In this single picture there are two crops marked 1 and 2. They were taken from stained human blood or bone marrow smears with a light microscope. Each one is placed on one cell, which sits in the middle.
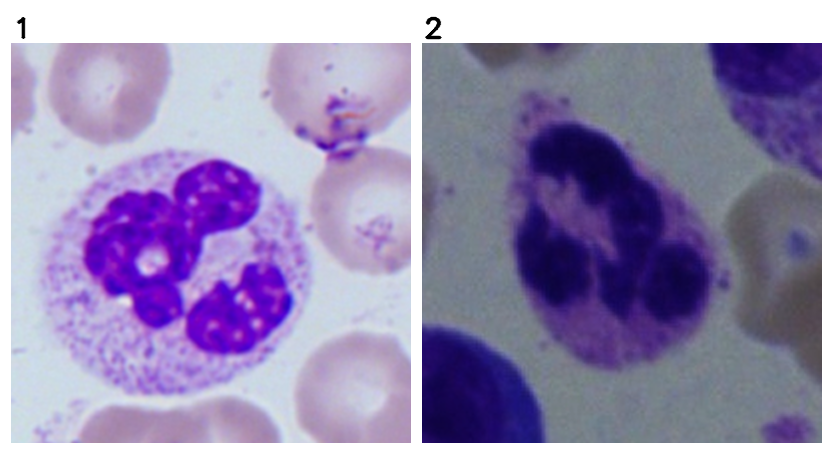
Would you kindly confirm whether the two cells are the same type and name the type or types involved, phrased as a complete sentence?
Yes, the two crops share the same answer, segmented neutrophils.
